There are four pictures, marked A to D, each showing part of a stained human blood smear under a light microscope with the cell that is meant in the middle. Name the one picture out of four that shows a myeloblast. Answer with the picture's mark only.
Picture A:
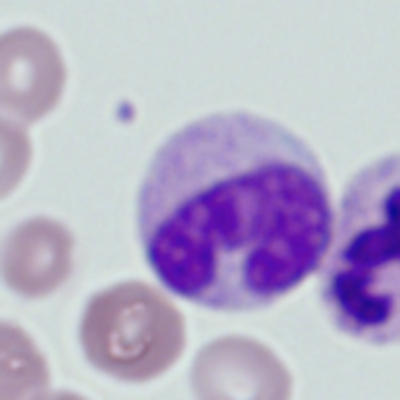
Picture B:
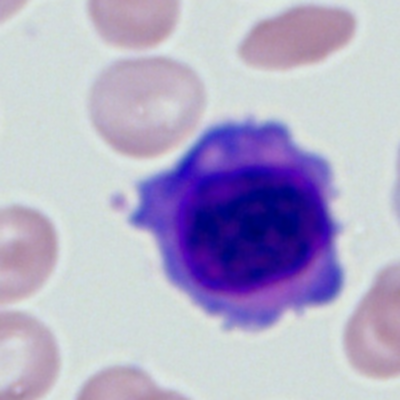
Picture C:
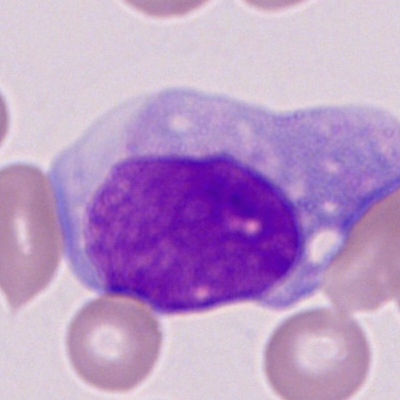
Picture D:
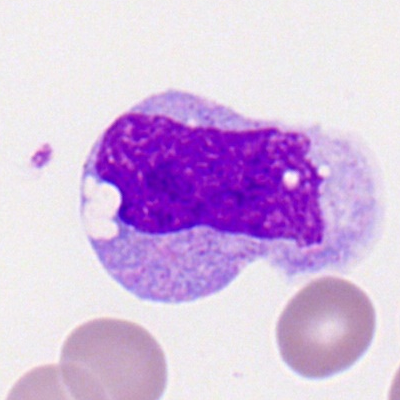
B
